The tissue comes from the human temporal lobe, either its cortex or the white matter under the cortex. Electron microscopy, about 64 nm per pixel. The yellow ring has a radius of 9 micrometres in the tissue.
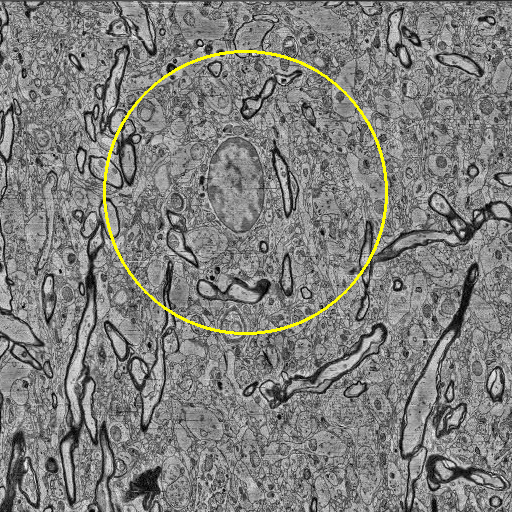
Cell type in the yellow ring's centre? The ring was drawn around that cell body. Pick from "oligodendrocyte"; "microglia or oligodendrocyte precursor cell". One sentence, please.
The ringed cell body is that of a microglial cell or oligodendrocyte precursor cell.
